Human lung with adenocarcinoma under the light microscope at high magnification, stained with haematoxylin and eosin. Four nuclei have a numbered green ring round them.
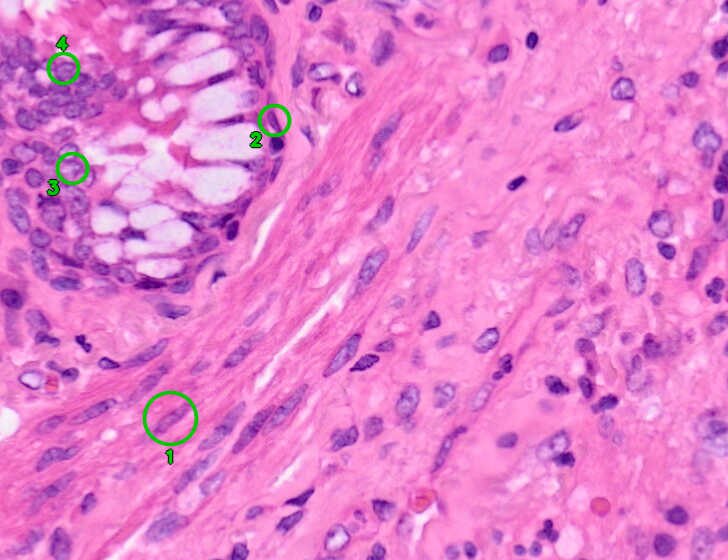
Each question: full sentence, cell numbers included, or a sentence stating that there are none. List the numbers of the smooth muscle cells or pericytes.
Only nucleus 1 belongs to a smooth muscle cell or pericyte; the other numbered nuclei do not.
